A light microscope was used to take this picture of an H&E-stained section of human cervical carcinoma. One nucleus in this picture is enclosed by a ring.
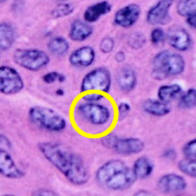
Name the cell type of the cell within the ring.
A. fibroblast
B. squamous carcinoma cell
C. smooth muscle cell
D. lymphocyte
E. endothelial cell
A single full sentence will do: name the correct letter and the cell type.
The correct option here, B, identifies the cell within the ring as a squamous carcinoma cell.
